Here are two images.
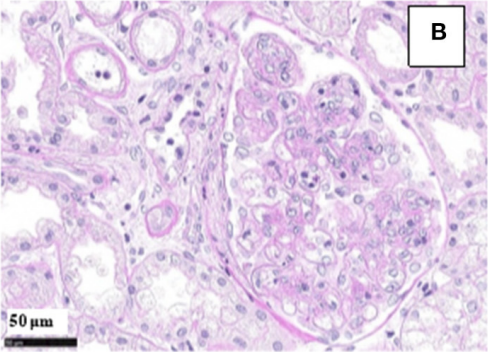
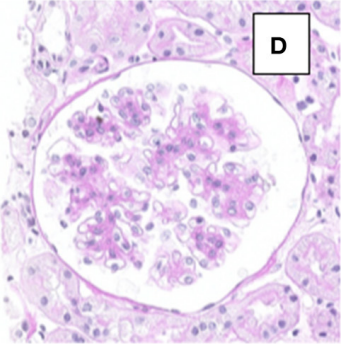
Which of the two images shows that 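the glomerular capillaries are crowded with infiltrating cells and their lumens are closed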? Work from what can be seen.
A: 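Second image: capillary loops are open with empty lumina around lobule centres. First image: the tuft is packed with nuclei and capillary lumina are hard to make out. On this evidence: the first image.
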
